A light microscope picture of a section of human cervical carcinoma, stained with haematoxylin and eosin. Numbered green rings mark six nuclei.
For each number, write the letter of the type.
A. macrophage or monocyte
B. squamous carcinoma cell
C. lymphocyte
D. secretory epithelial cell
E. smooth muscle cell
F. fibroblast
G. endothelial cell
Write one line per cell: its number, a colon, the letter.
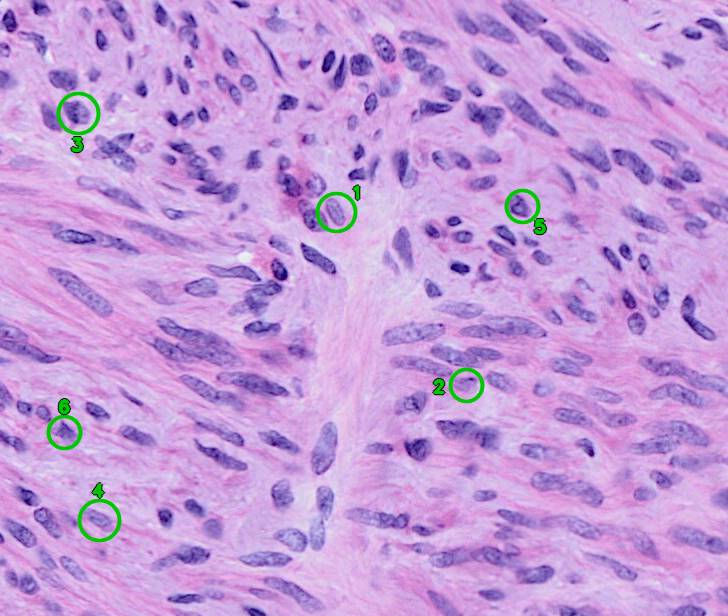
1: G
2: E
3: F
4: E
5: E
6: E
